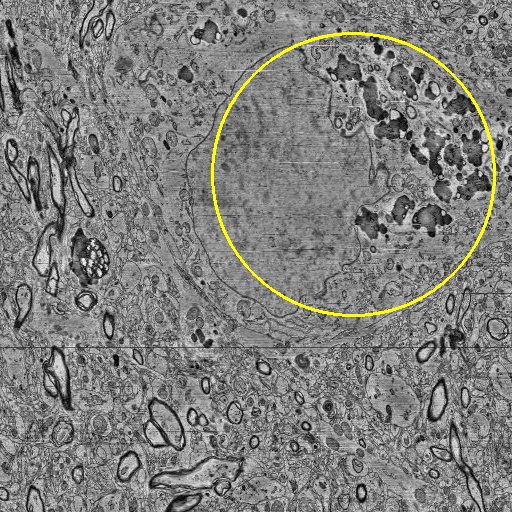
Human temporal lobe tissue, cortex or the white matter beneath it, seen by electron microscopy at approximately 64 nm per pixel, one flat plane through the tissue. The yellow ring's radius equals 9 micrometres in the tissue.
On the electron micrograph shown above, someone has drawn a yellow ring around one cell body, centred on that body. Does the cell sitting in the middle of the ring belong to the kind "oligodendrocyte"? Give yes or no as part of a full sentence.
No, the cell located in the middle of the ring in the micrograph is of a different kind.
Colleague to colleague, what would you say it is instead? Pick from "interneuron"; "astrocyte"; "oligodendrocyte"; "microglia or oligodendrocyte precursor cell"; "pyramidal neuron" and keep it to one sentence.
Sitting at the ring centre is a pyramidal neuron.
